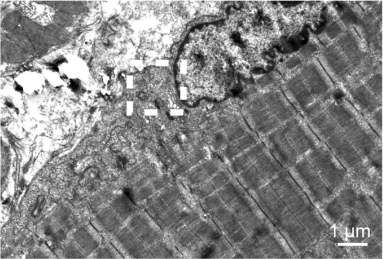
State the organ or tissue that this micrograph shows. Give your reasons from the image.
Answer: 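Regular parallel myofibrils with repeating cross-striations. Dense transverse lines divide the myofibrils into sarcomeres. An elongated nucleus lies at the edge of the fiber.
Answer: muscle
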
